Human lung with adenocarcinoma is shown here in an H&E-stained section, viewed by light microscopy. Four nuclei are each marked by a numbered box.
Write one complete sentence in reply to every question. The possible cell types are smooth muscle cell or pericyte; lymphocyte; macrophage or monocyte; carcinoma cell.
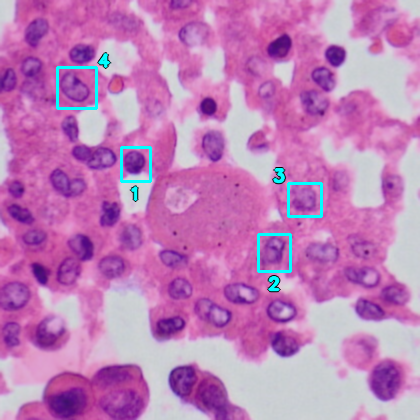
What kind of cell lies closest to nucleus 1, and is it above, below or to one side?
Lying to the left of nucleus 1, the nearest nucleus is that of a macrophage or monocyte.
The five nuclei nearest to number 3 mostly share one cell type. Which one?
Macrophages or monocytes account for more than half of the five nuclei nearest to number 3.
